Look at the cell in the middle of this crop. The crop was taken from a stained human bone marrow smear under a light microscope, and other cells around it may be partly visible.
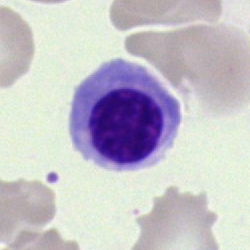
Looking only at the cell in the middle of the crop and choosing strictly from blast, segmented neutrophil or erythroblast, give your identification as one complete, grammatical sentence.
Of the cells in this crop, the central one is an erythroblast.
